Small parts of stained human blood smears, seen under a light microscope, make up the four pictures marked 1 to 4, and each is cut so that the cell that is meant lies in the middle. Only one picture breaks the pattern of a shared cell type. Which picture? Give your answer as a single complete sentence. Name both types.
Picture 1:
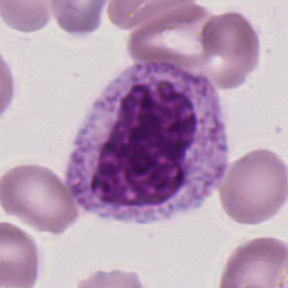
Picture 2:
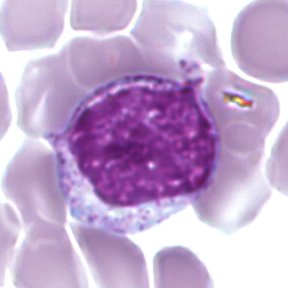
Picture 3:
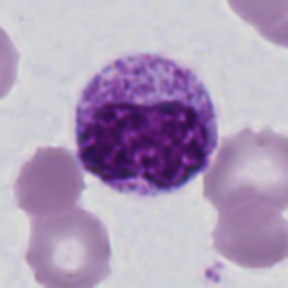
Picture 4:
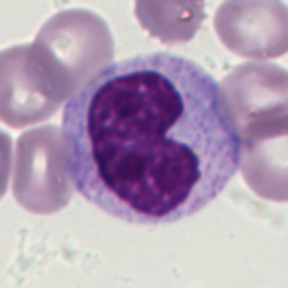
The others show metamyelocytes, but picture 2 shows a myelocyte.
